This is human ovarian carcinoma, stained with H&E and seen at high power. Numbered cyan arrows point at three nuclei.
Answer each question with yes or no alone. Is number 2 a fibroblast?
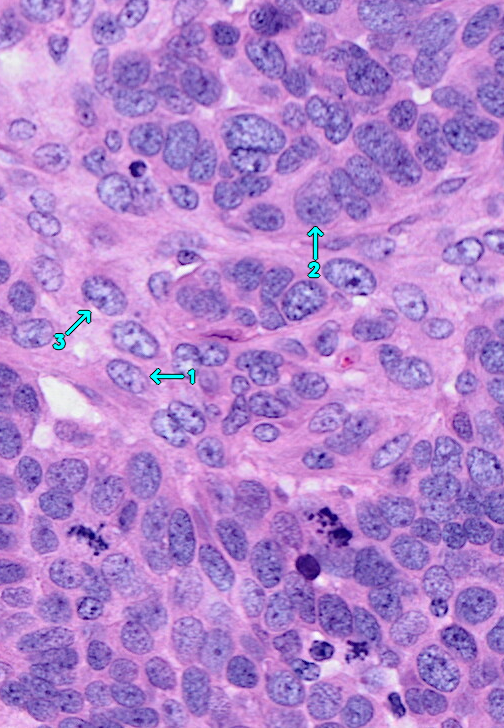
no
